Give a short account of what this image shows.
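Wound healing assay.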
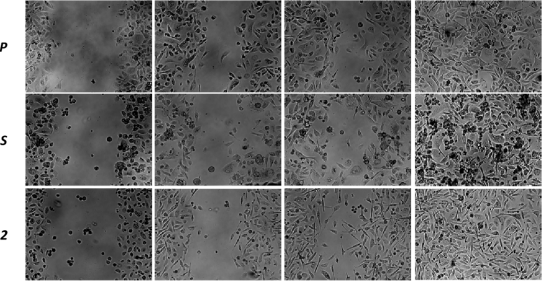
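In the leftmost column each image shows a vertical cell-free band in the middle flanked by two edges of densely packed cells. Moving to the right, elongated, spindle-shaped and polygonal cells spread into the band, first scattered and then more densely. In the rightmost column the band can no longer be made out and the field is covered by a crowded layer of elongated cells.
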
